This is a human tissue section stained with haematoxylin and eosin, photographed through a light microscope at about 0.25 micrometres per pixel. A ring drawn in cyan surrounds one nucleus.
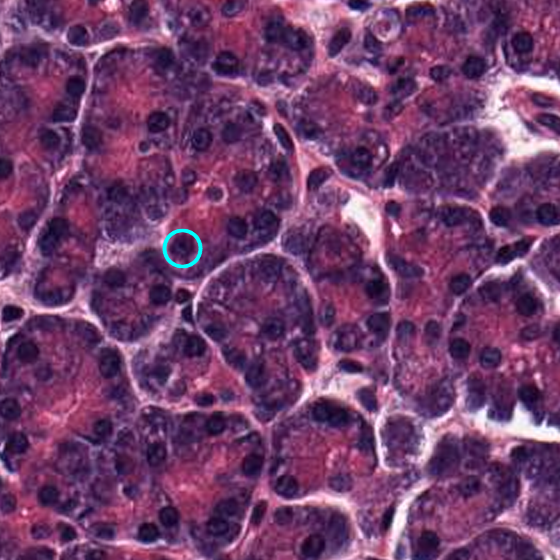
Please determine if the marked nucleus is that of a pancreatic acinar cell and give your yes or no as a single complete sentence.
Yes, in the picture the marked nucleus belongs to a pancreatic acinar cell.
